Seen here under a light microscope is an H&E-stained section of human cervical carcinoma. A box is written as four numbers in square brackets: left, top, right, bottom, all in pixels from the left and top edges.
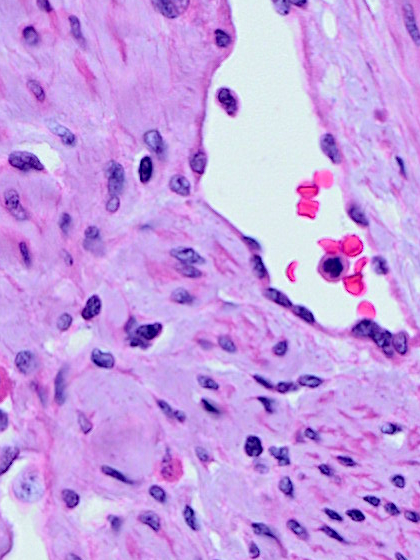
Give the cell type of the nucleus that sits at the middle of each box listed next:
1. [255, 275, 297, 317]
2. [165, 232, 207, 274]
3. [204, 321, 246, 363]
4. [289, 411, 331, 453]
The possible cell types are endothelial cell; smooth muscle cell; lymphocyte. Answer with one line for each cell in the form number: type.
1: endothelial cell
2: smooth muscle cell
3: smooth muscle cell
4: smooth muscle cell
